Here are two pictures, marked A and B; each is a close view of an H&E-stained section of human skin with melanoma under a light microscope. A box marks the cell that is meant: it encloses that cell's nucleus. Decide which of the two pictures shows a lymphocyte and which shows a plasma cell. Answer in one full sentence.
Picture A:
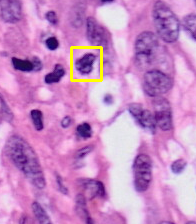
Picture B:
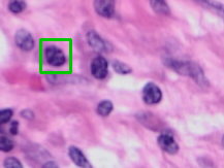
Picture B shows a plasma cell, while picture A shows a lymphocyte.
